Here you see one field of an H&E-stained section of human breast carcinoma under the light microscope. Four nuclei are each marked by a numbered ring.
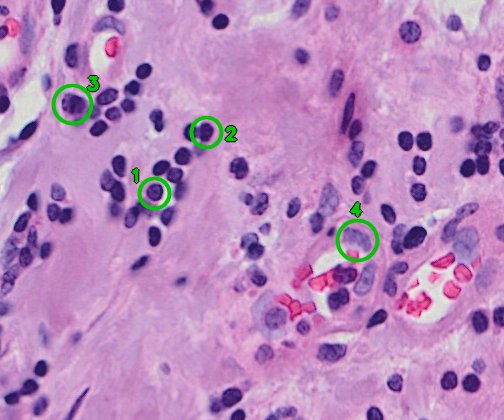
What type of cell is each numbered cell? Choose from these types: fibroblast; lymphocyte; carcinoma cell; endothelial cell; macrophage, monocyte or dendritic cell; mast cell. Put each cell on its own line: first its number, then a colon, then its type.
1: lymphocyte
2: lymphocyte
3: lymphocyte
4: endothelial cell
